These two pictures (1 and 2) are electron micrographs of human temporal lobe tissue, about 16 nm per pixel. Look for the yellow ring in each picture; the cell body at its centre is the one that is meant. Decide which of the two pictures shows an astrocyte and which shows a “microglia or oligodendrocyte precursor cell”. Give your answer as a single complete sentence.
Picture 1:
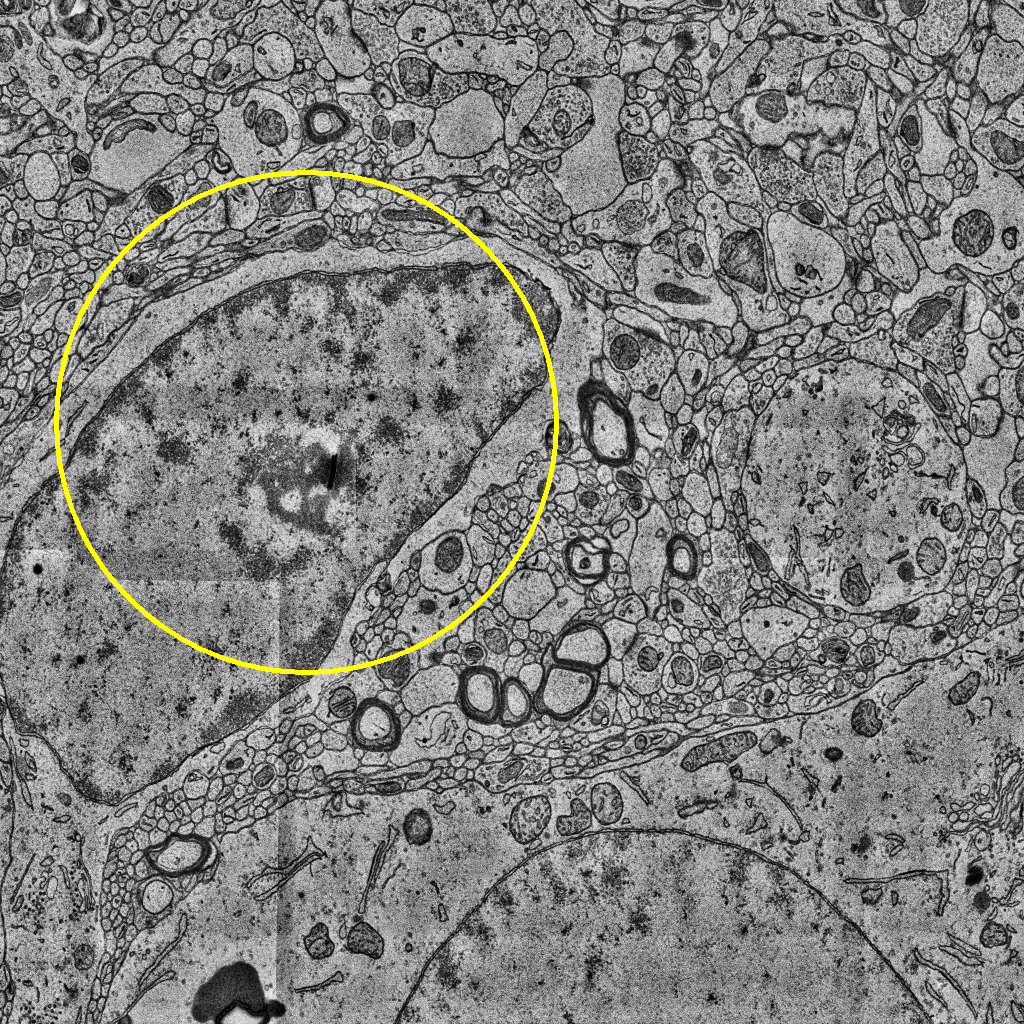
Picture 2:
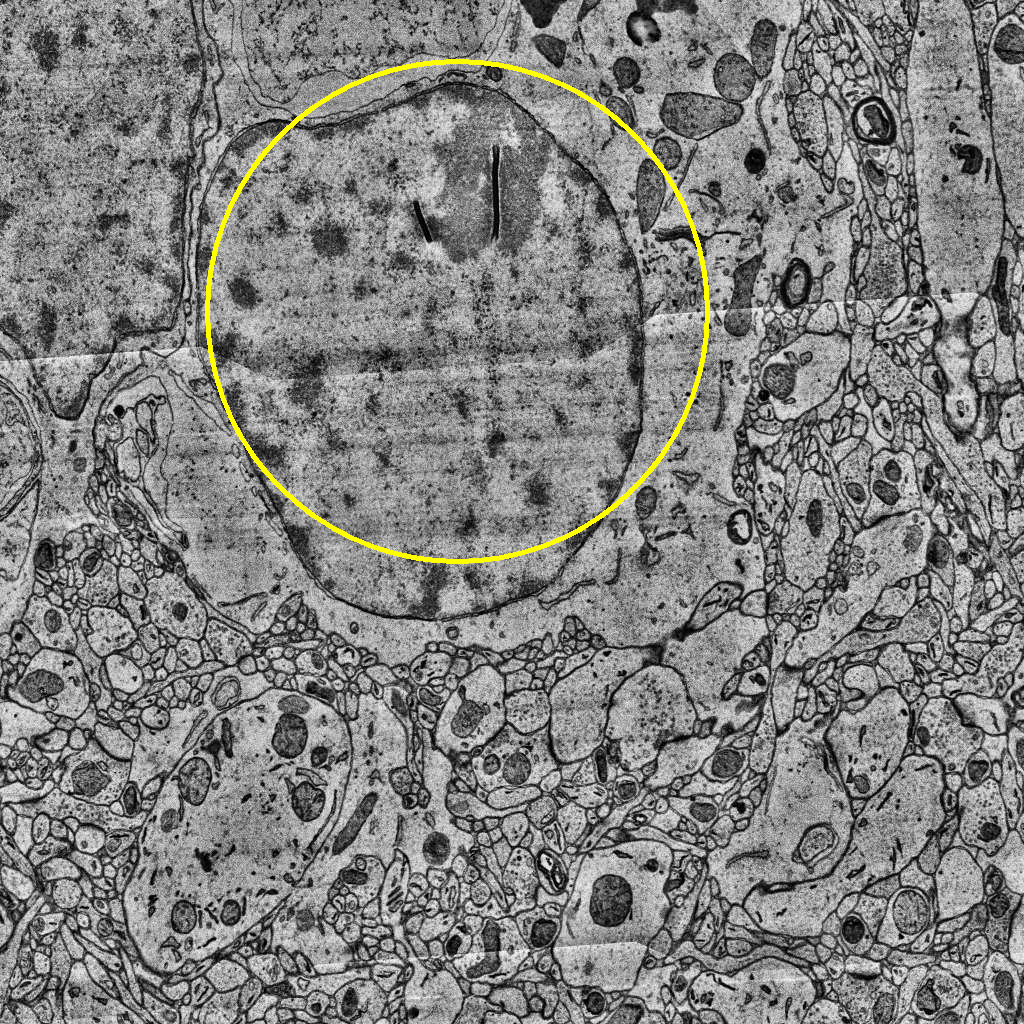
In picture 1 the cell is a “microglia or oligodendrocyte precursor cell”; in picture 2, an astrocyte.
